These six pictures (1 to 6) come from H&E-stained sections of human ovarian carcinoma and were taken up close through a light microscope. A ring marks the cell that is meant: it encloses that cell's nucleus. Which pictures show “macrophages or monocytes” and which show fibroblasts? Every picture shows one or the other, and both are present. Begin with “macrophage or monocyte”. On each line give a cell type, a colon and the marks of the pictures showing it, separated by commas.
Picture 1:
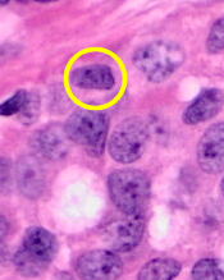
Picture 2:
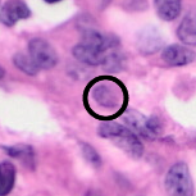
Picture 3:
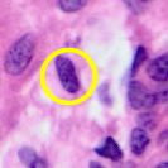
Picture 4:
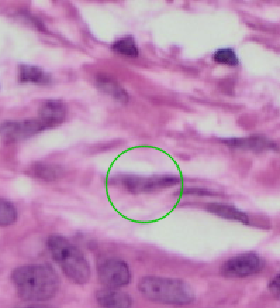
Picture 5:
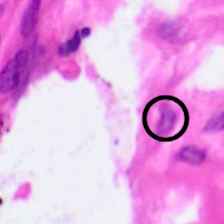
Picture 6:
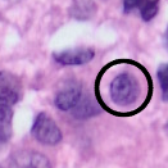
macrophage or monocyte: 1, 2, 3, 6
fibroblast: 4, 5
